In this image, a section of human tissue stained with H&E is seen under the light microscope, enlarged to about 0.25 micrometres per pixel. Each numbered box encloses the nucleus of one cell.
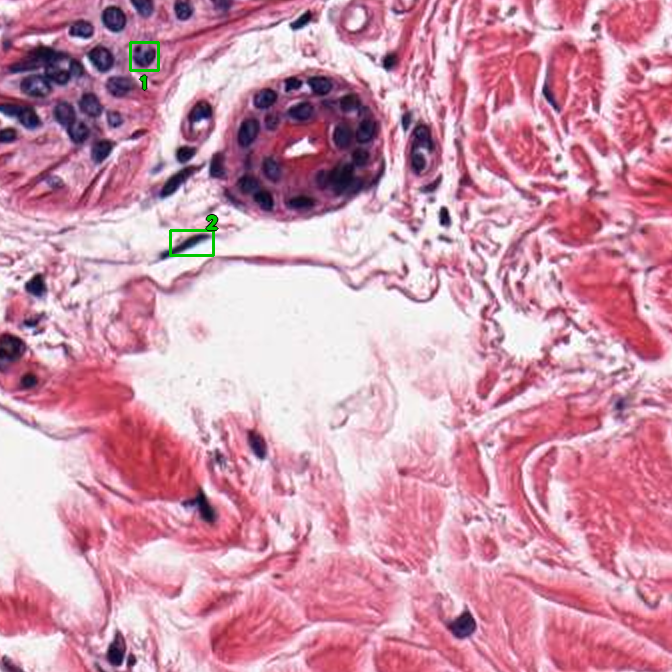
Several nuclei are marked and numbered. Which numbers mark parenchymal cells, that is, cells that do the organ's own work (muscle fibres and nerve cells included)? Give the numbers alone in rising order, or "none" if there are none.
1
